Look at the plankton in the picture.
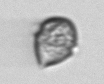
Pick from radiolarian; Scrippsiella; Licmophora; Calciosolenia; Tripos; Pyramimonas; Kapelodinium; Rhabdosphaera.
Scrippsiella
